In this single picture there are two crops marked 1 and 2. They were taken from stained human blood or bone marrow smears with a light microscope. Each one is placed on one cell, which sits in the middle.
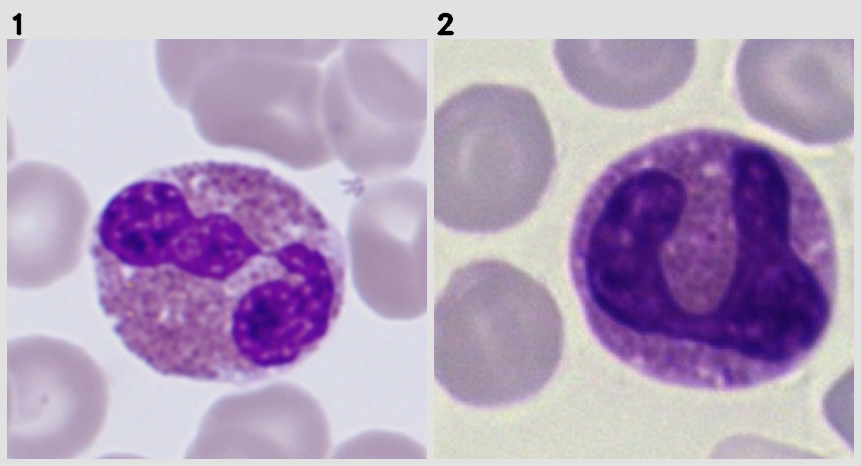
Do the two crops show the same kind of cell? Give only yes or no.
yes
